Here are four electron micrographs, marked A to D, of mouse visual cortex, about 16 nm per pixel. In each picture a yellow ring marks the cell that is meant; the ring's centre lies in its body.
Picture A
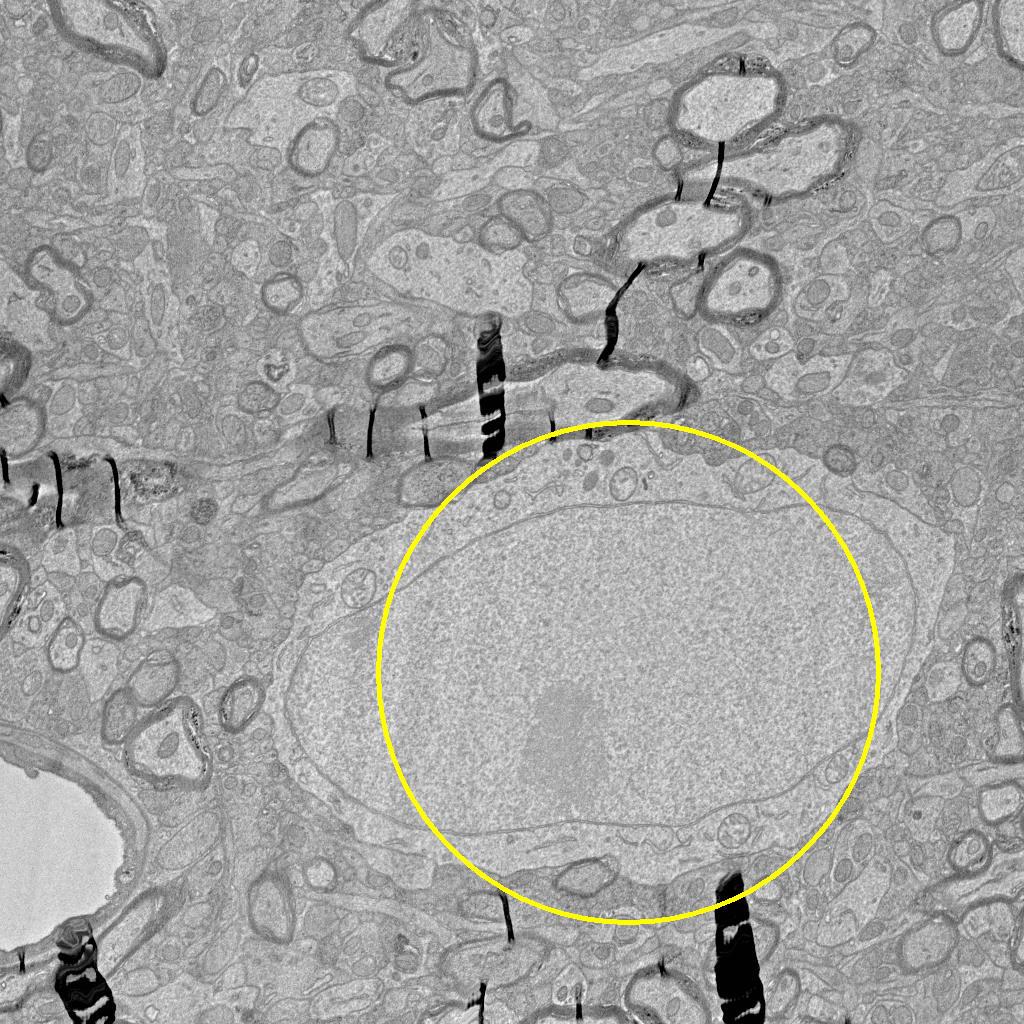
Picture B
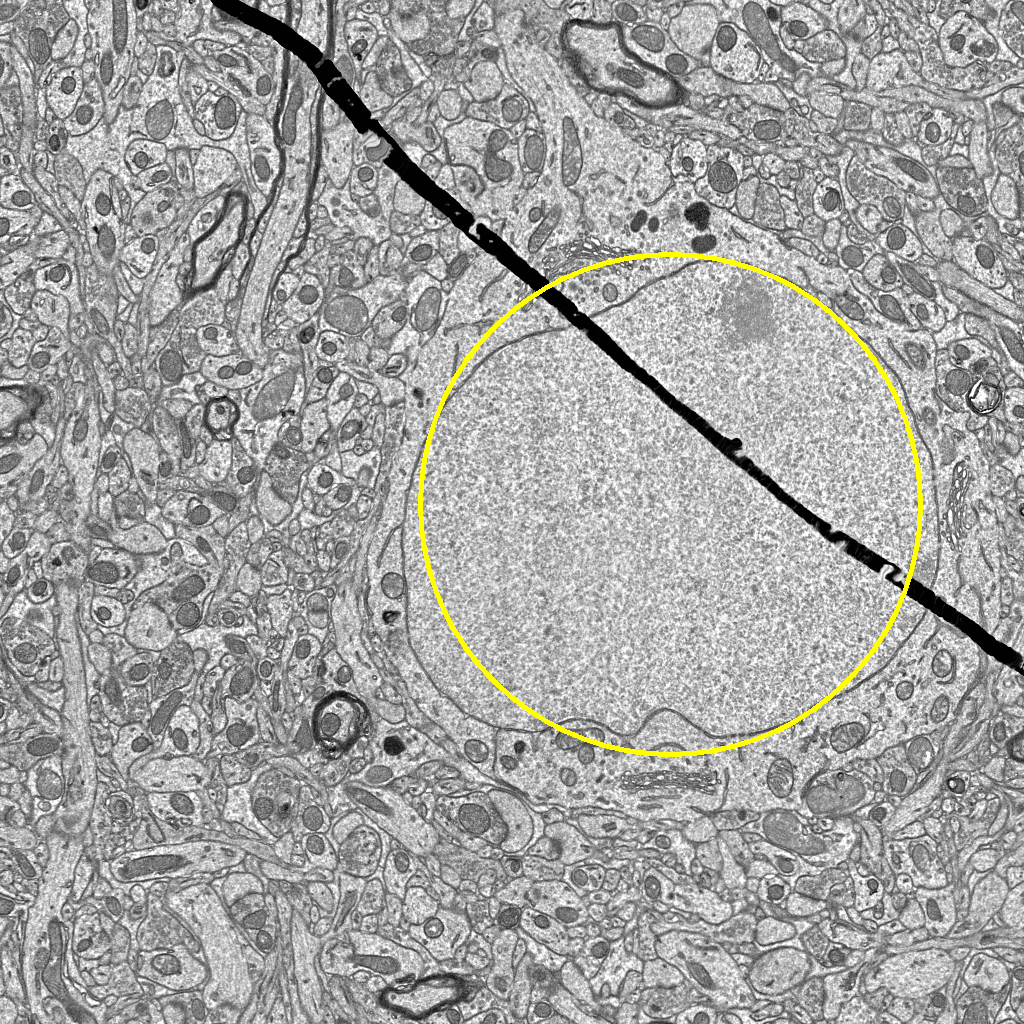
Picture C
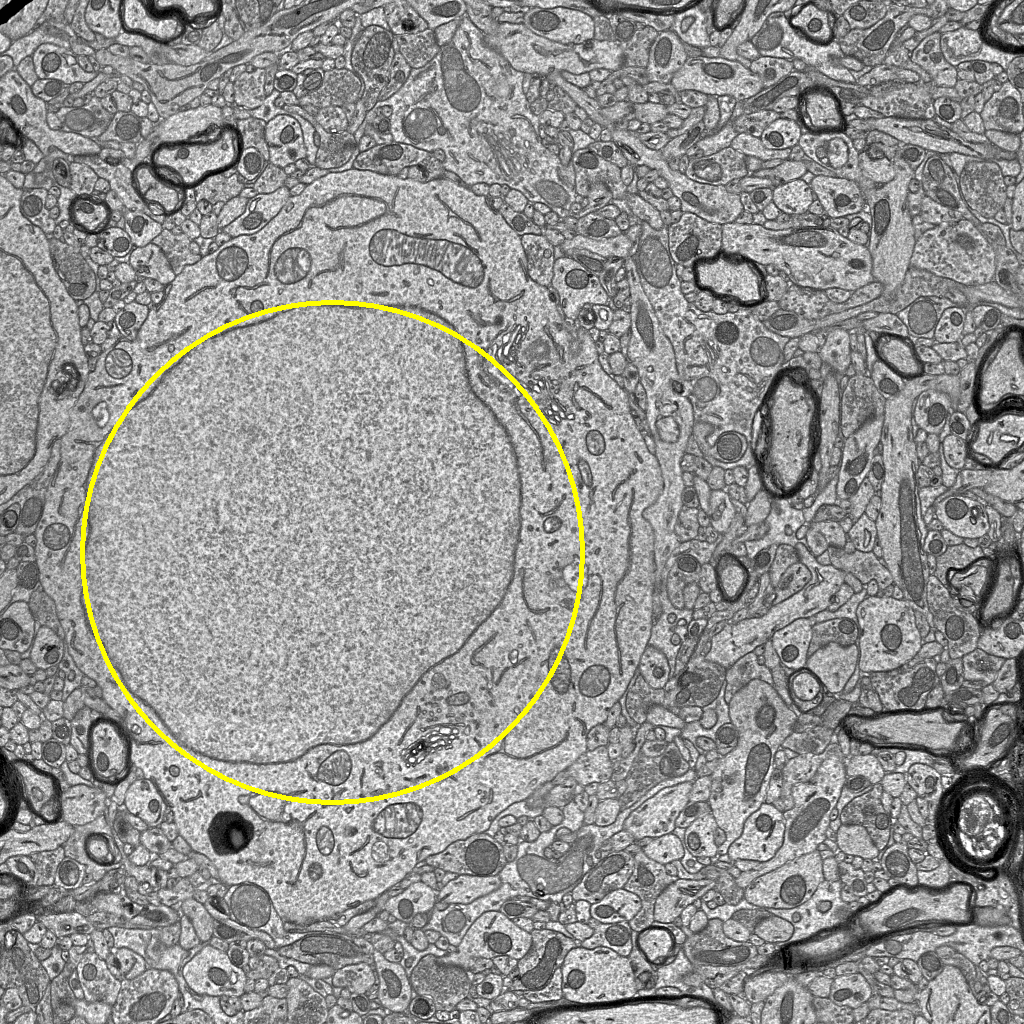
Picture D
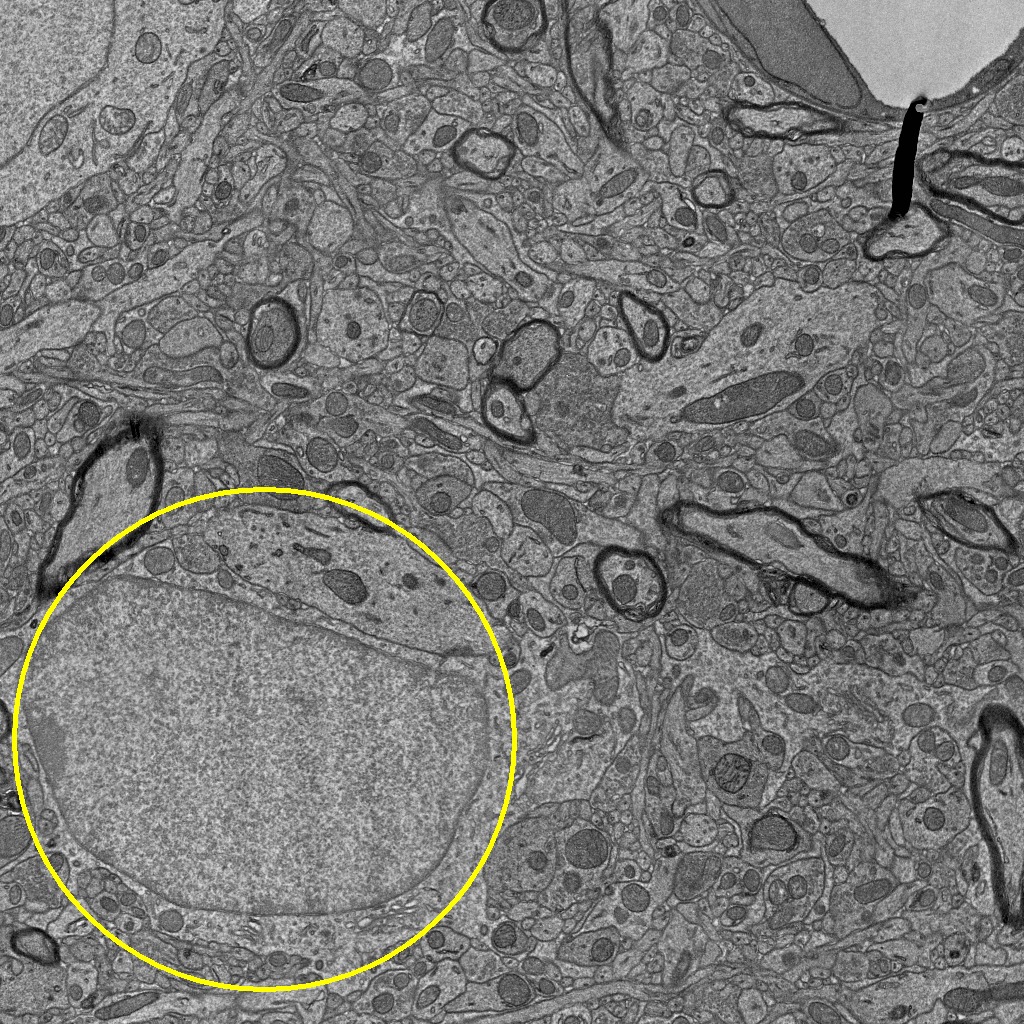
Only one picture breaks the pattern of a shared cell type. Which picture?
Unlike the rest, which show excitatory neurons, picture D shows an astrocyte.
